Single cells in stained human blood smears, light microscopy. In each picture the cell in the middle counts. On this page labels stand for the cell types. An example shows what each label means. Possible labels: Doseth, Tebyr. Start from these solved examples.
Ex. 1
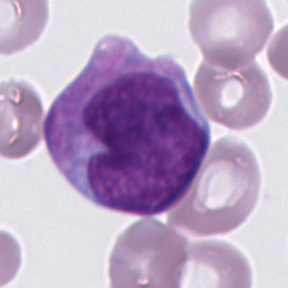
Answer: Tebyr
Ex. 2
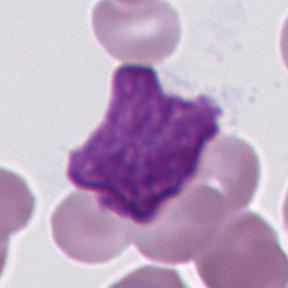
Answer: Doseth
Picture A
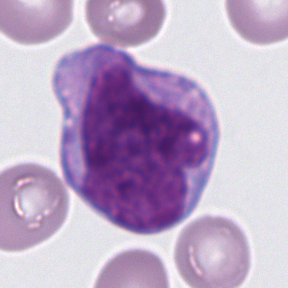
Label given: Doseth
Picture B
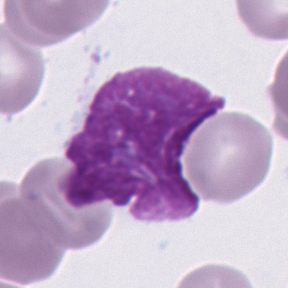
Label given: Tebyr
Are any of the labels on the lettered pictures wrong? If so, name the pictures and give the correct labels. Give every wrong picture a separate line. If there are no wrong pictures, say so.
A is labelled Doseth; correct label: Tebyr
B is labelled Tebyr; correct label: Doseth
